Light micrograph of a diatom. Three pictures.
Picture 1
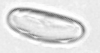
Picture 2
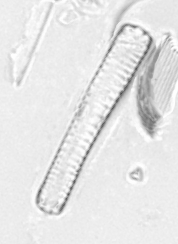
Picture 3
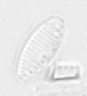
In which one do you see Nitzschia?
In picture 3.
